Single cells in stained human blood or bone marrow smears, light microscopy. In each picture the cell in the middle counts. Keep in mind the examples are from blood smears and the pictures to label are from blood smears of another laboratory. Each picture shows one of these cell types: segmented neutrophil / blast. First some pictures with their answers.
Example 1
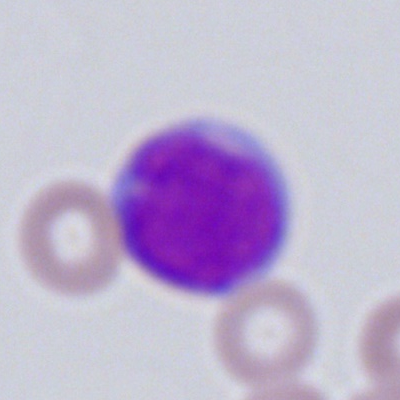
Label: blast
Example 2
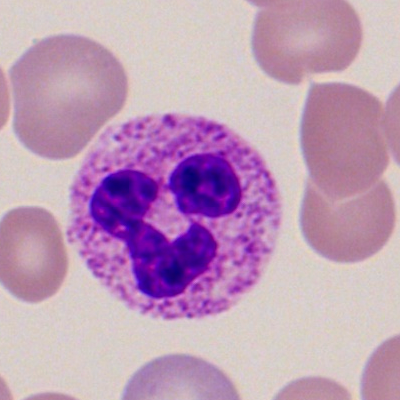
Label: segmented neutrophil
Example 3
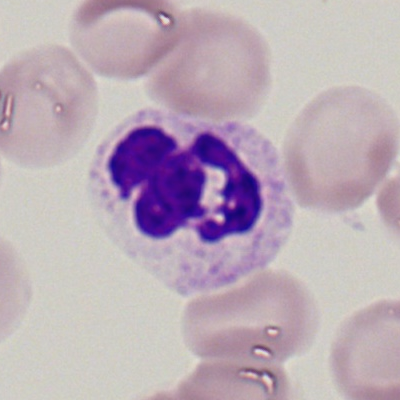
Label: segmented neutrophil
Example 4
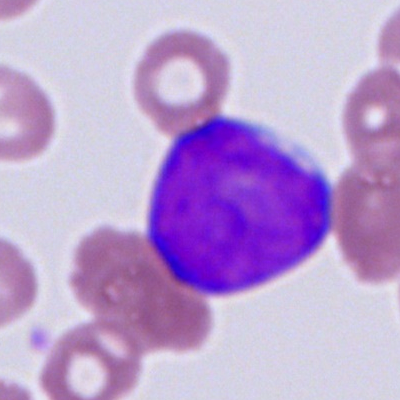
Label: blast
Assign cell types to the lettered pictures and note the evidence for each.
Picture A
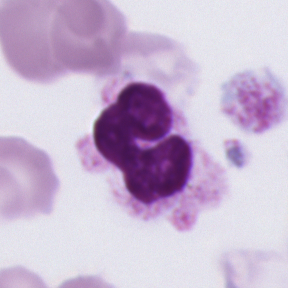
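segmented neutrophil. Evidence: The cytoplasm between the granules is pale and almost colourless.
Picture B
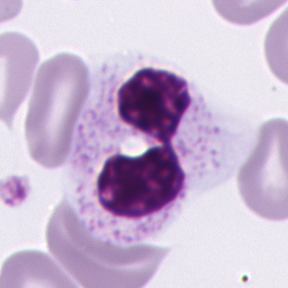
segmented neutrophil. Evidence: Abundant pale lilac cytoplasm surrounds the nucleus on all sides.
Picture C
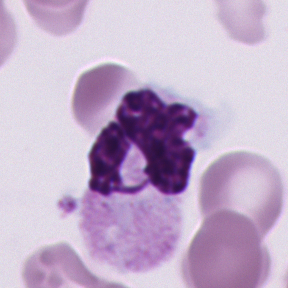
segmented neutrophil. Evidence: The nucleus is split into separate lobes rather than forming one mass.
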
